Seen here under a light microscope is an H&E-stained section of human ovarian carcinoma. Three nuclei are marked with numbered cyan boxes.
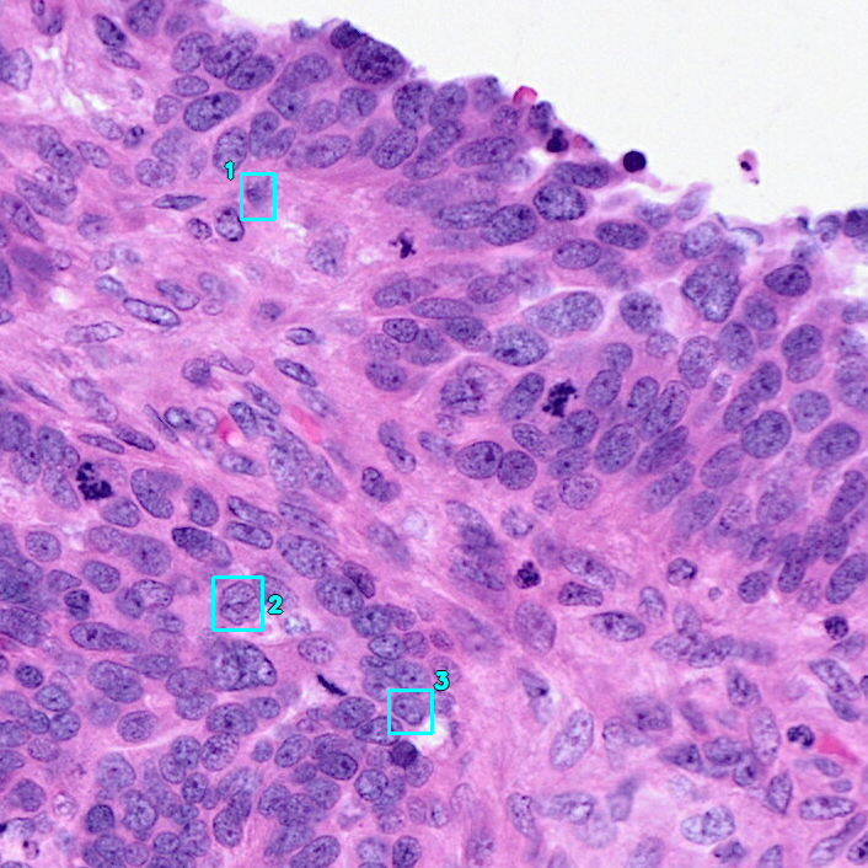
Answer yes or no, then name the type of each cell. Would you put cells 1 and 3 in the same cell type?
No, cell 1 is a fibroblast, and in contrast cell 3 is a carcinoma cell.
